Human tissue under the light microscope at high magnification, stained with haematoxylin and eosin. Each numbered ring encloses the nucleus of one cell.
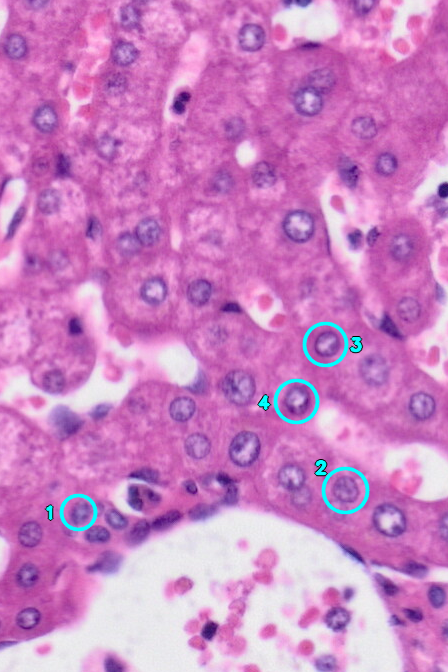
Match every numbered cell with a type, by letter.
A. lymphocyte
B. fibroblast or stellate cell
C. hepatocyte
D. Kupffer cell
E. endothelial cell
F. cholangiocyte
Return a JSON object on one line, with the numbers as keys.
{"1": "F", "2": "C", "3": "C", "4": "C"}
